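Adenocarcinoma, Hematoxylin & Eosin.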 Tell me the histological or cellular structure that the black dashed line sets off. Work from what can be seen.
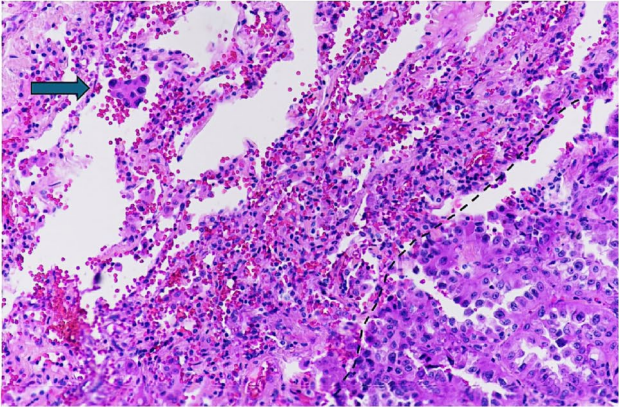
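The dashed line separates a lower right area of densely packed cells with large nuclei from looser alveolar tissue.
Answer: tumor border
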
